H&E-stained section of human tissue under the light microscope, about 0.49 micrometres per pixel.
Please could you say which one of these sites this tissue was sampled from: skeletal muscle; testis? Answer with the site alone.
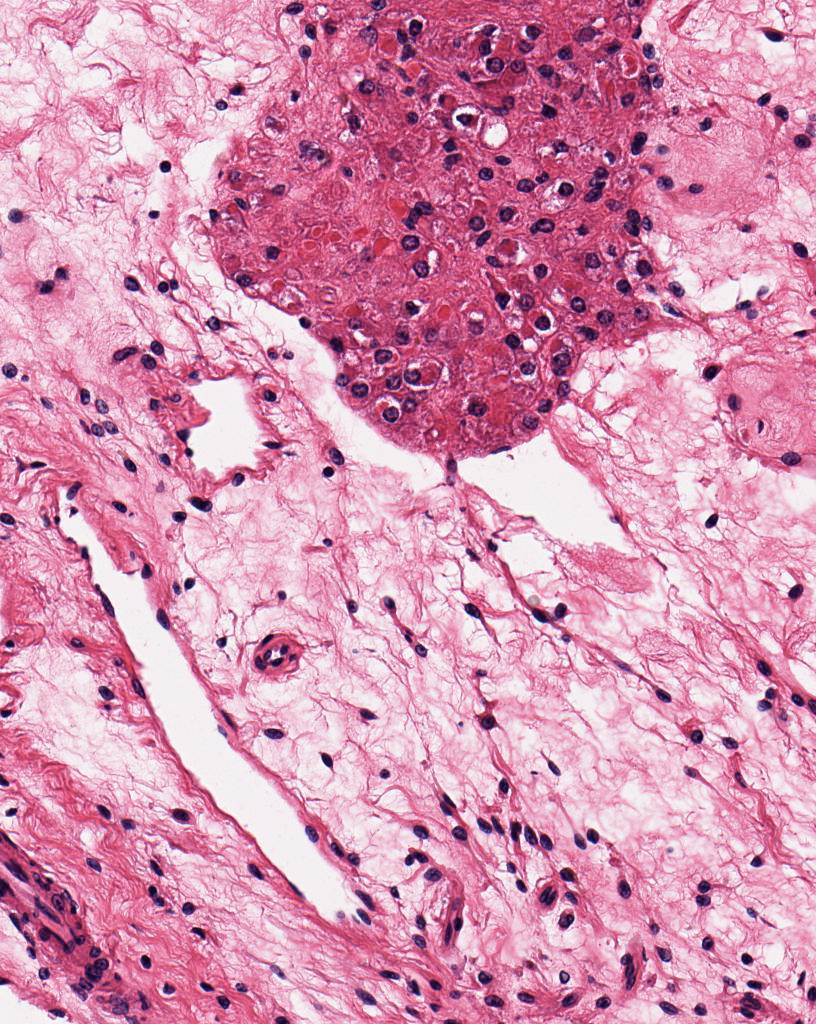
testis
